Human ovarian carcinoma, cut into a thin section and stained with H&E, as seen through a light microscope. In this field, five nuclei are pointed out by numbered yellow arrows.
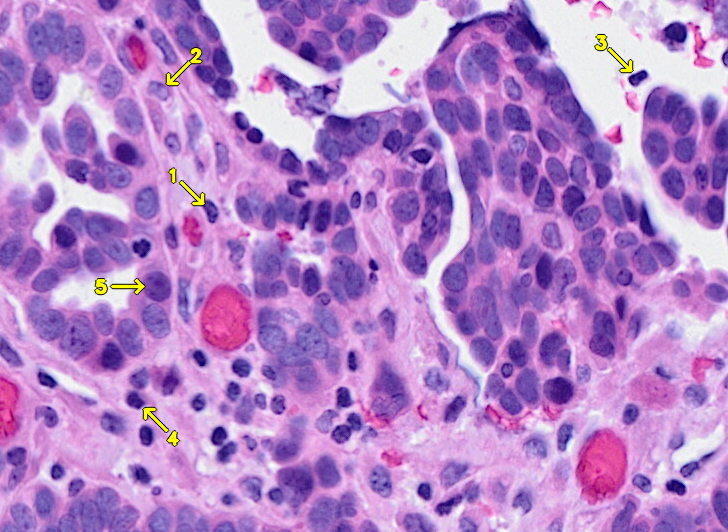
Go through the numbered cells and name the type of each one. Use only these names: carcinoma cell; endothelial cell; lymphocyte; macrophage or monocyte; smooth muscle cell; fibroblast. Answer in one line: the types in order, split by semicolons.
lymphocyte; fibroblast; lymphocyte; lymphocyte; carcinoma cell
